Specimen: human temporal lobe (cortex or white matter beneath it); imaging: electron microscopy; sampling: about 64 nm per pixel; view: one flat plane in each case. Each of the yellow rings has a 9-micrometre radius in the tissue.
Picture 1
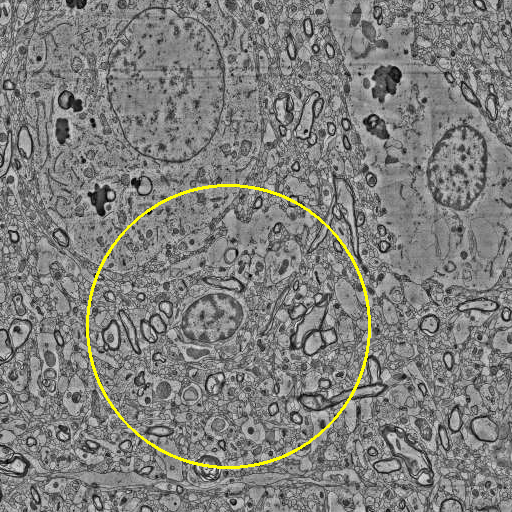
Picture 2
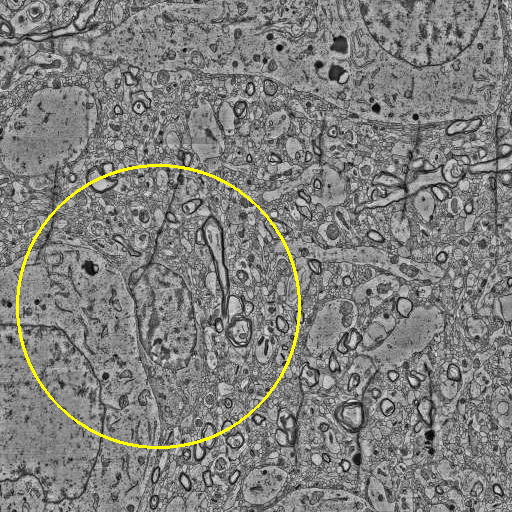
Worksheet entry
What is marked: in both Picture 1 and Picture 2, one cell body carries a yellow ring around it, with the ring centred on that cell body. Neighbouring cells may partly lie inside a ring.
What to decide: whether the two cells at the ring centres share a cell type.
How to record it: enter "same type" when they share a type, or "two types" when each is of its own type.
two types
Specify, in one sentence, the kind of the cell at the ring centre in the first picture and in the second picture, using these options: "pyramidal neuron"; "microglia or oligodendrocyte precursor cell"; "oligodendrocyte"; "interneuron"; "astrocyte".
So the first is a microglial cell or oligodendrocyte precursor cell, the second an oligodendrocyte.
